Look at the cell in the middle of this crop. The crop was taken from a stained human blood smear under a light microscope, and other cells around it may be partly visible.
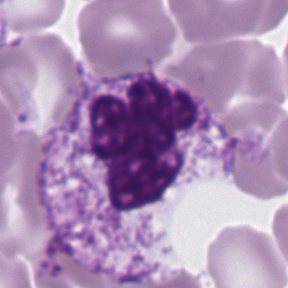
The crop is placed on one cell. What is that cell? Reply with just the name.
segmented neutrophil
